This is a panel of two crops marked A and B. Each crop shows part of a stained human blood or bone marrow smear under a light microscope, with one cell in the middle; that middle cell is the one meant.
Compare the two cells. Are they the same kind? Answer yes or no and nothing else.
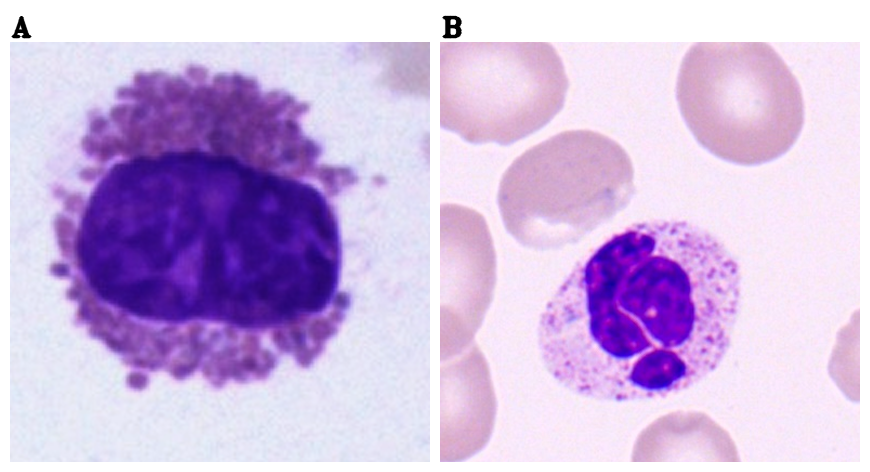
no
